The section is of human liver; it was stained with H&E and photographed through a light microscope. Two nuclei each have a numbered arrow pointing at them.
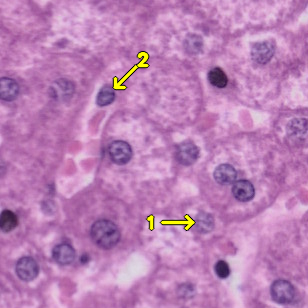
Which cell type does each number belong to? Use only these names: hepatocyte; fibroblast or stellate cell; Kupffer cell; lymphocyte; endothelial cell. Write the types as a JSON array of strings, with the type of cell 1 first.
["hepatocyte", "Kupffer cell"]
